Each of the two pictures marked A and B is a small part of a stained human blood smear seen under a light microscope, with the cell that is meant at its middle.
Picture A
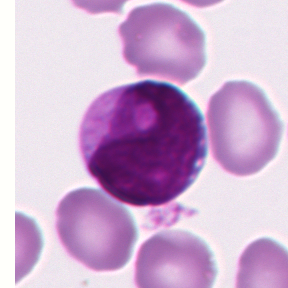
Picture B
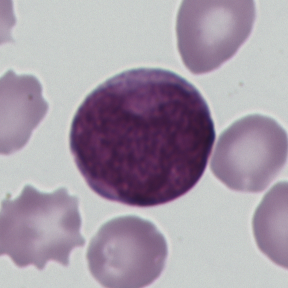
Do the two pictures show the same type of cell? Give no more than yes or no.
yes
